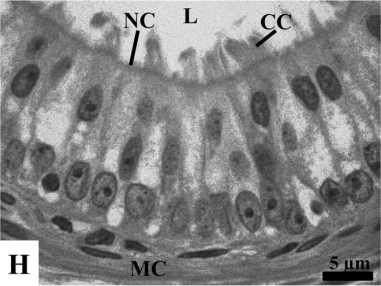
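Lining epithelium of an efferent ductule with tall columnar ciliated and nonciliated cells facing the lumen. Tufts of cilia project from the apical surface of some cells into the pale lumen. Nuclei lie at different levels: elongated oval nuclei higher in the epithelium and rounded nuclei with visible nucleoli near the base. Beneath the epithelium lies a thin band of flattened muscle cells with dark, spindle-shaped nuclei.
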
